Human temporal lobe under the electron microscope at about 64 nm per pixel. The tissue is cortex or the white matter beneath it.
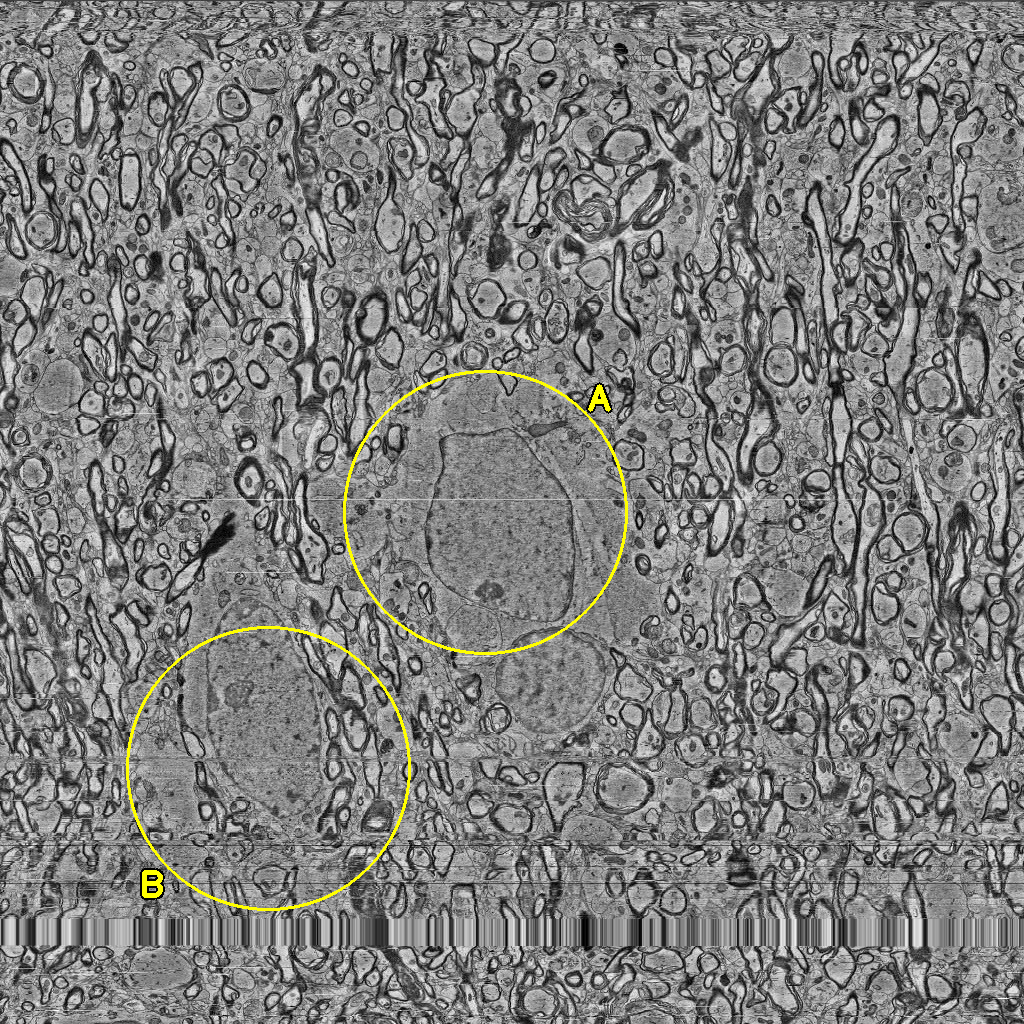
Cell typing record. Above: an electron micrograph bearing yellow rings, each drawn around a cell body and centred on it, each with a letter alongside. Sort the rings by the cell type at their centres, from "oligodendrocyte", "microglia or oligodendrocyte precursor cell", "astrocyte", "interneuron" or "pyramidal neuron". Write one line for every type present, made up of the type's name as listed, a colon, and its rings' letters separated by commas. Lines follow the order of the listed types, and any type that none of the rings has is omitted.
astrocyte: A, B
